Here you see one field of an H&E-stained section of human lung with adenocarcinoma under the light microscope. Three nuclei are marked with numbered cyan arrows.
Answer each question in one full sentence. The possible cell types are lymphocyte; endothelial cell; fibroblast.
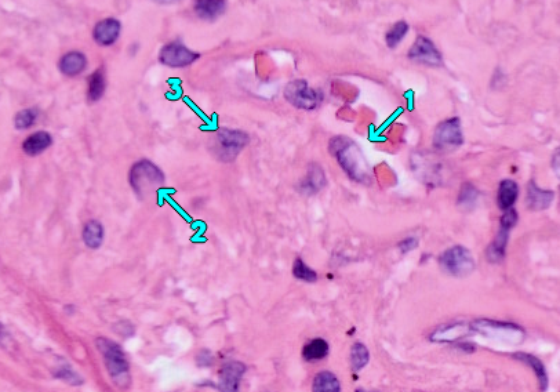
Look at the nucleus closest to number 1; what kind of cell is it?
The nucleus nearest to number 1 is that of a fibroblast.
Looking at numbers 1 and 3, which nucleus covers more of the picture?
Of the two, number 1 is bigger and takes up about 1.5 times the area of number 3.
